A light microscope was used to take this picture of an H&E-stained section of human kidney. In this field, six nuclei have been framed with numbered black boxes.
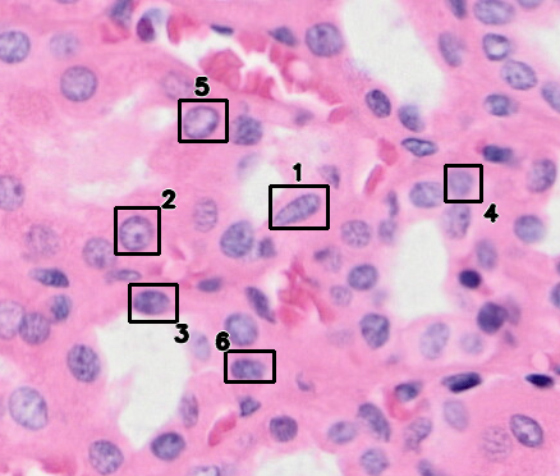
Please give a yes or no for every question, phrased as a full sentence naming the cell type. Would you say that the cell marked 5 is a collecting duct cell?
No, cell 5 does not represent a collecting duct cell; it represents a proximal tubule cell.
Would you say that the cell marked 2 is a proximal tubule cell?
Yes, within this section, cell number 2 is a proximal tubule cell.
